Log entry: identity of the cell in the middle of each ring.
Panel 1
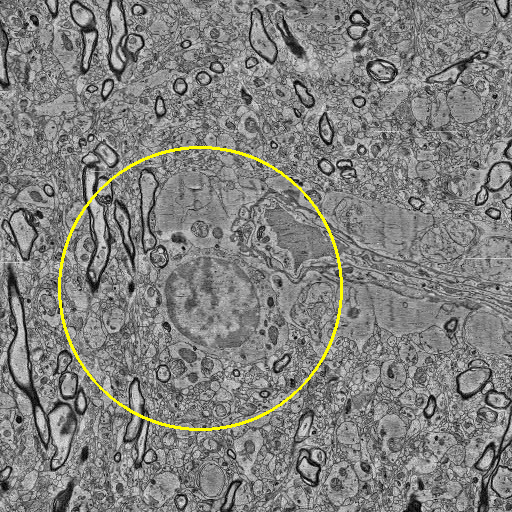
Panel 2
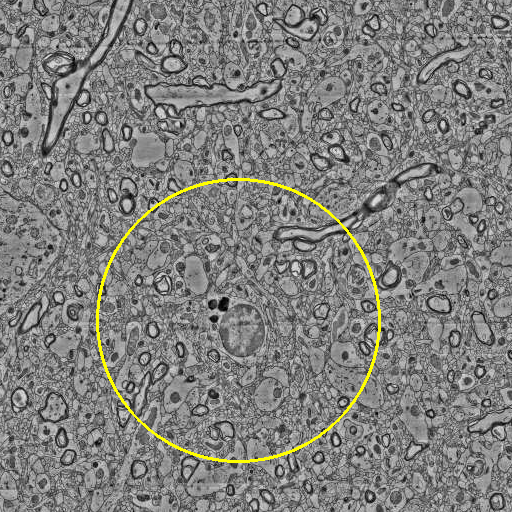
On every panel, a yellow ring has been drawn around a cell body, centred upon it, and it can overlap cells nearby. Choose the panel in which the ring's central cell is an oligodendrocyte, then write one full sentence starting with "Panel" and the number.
Panel 1 shows the requested cell sitting in the middle of its ring.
